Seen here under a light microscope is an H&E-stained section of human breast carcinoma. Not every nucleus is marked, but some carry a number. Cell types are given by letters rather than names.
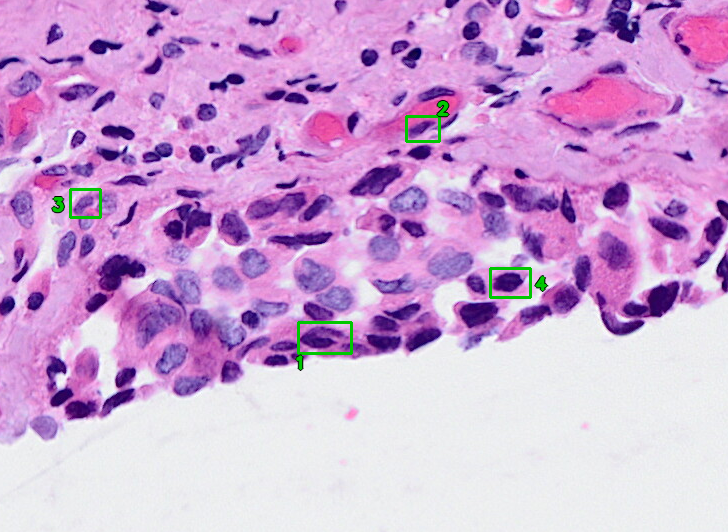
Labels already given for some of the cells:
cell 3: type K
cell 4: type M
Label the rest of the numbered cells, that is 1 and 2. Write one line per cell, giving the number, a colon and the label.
1: type M
2: type K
